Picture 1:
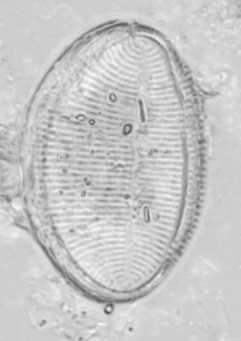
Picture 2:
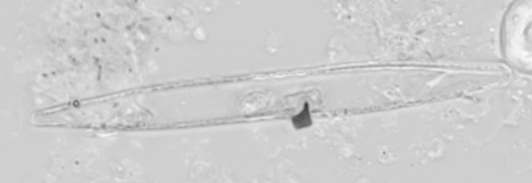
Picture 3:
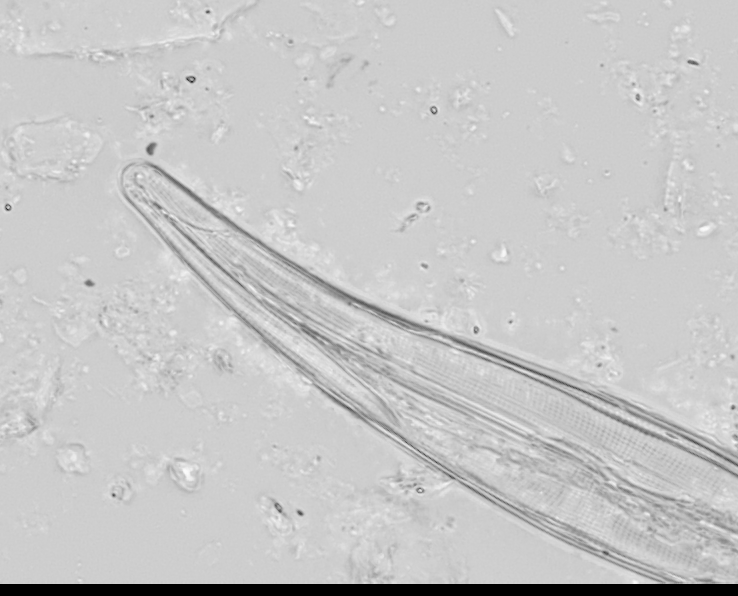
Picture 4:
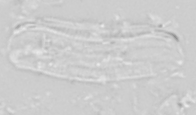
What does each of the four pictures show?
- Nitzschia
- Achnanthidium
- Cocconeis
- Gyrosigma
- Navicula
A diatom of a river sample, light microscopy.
Picture 1: Cocconeis
Picture 2: Nitzschia
Picture 3: Gyrosigma
Picture 4: Achnanthidium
